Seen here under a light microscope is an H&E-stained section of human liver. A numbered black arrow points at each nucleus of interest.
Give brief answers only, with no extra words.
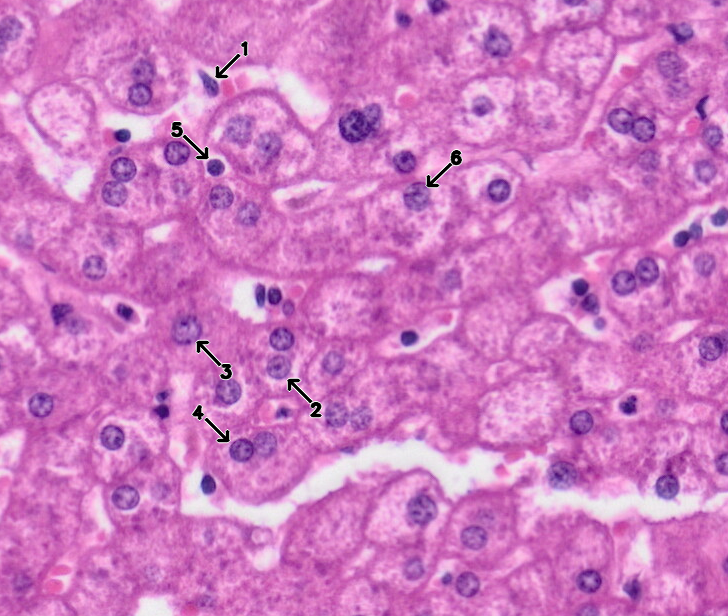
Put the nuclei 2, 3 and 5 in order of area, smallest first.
5, 2, 3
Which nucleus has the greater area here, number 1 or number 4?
4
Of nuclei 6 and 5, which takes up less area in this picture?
5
